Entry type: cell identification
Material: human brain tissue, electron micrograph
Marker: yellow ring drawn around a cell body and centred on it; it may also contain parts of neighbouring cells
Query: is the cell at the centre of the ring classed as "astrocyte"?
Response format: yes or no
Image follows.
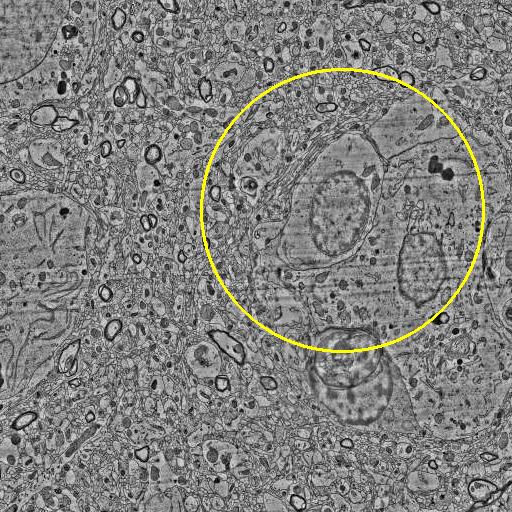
yes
